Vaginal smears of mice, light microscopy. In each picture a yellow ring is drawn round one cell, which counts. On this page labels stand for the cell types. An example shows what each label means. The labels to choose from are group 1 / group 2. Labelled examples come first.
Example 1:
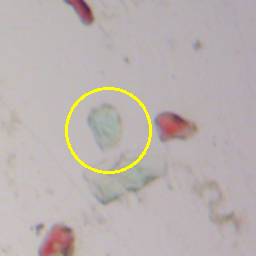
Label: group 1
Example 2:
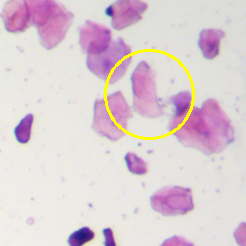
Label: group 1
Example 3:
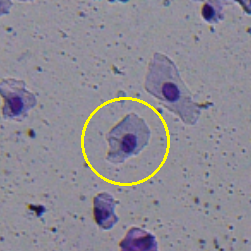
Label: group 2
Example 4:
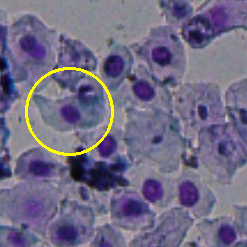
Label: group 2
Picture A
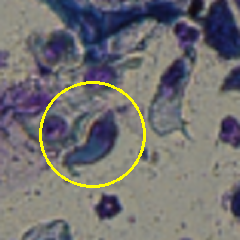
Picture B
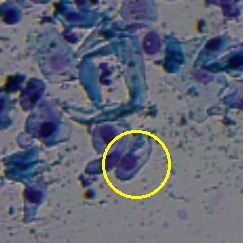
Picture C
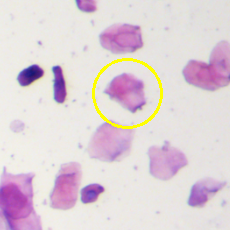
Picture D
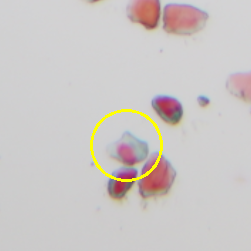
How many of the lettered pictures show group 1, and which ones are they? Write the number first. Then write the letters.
1: C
